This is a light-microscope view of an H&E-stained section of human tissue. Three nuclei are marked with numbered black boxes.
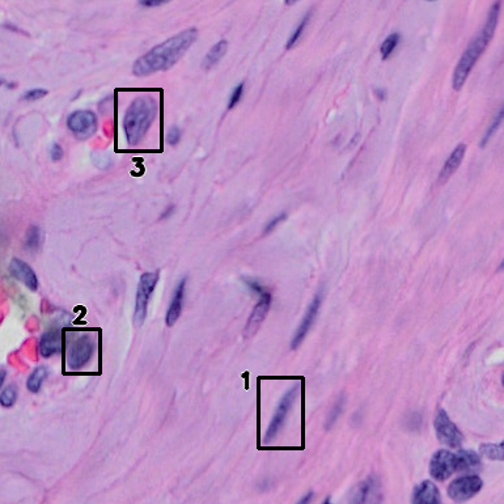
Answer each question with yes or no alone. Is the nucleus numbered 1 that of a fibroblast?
yes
